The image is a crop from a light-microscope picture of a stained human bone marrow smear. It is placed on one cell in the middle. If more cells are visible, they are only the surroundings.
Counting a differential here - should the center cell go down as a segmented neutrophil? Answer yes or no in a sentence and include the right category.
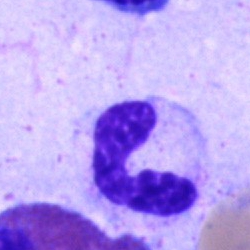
No, the centrally placed cell is a band neutrophil, not a segmented neutrophil.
